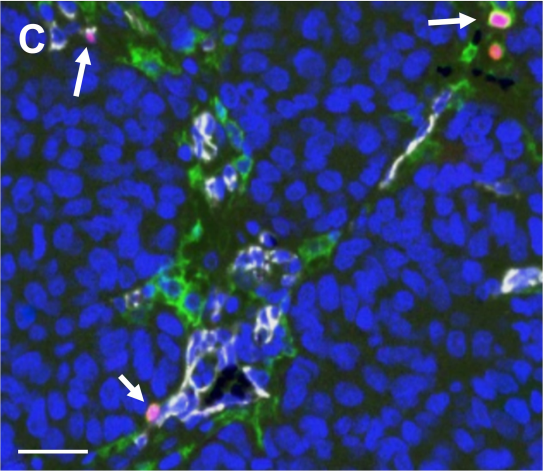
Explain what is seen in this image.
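Here crowded blue tumor nuclei surround several small white-lined blood vessels. Around these vessels green-stained cells with irregular outlines gather in the narrow strips of tissue, while the tumor cell masses further away have few of them. A few small cells near the vessels have pink nuclei.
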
